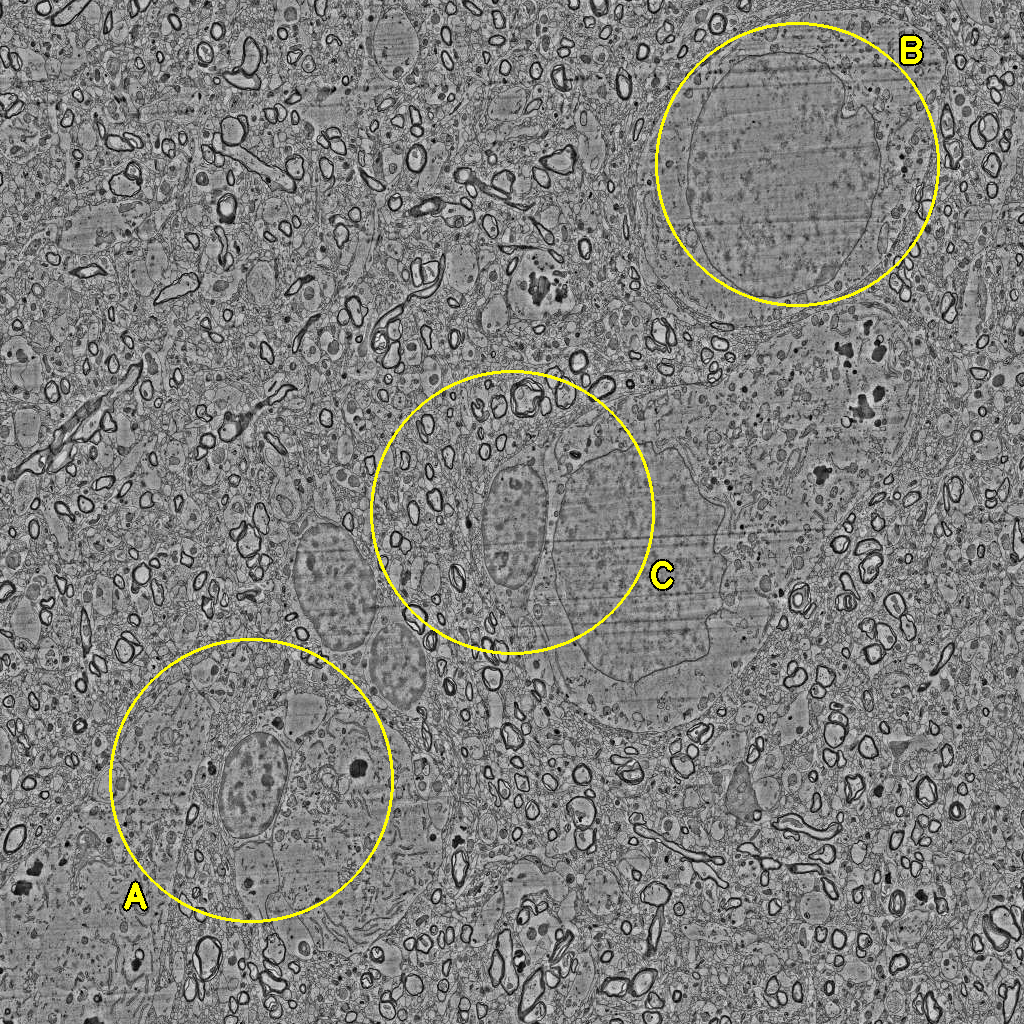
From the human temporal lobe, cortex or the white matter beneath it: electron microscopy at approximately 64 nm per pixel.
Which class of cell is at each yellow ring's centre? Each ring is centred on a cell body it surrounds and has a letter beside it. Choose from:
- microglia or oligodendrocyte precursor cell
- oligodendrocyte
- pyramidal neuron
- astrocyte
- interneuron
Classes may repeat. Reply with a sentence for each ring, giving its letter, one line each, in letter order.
The ring lettered A is centred on a microglial cell or oligodendrocyte precursor cell.
The ring lettered B is centred on a pyramidal neuron.
The ring lettered C is centred on an oligodendrocyte.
